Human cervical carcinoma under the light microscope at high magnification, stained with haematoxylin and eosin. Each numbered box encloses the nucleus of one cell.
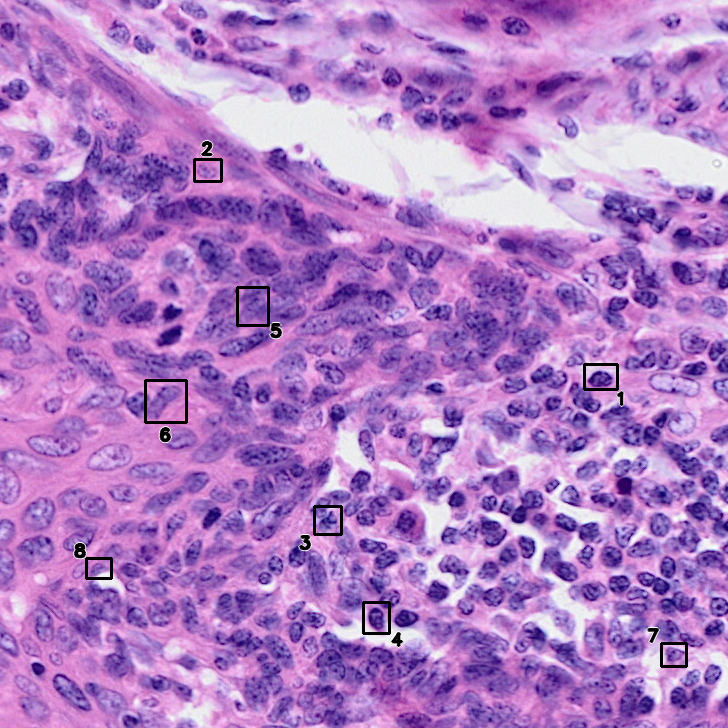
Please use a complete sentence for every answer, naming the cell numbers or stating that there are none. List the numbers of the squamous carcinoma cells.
The numbers 2, 5, 6 and 8 refer to cells that are squamous carcinoma cells.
